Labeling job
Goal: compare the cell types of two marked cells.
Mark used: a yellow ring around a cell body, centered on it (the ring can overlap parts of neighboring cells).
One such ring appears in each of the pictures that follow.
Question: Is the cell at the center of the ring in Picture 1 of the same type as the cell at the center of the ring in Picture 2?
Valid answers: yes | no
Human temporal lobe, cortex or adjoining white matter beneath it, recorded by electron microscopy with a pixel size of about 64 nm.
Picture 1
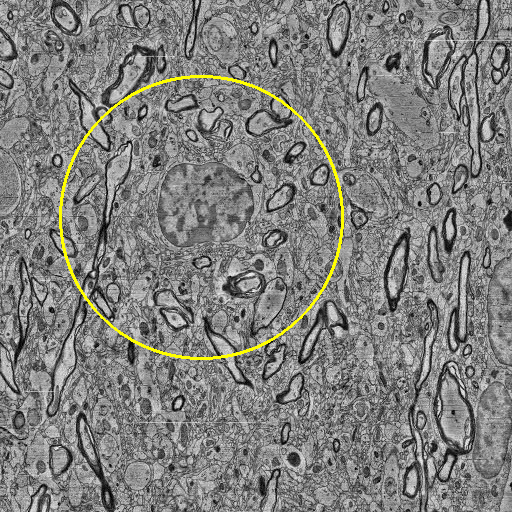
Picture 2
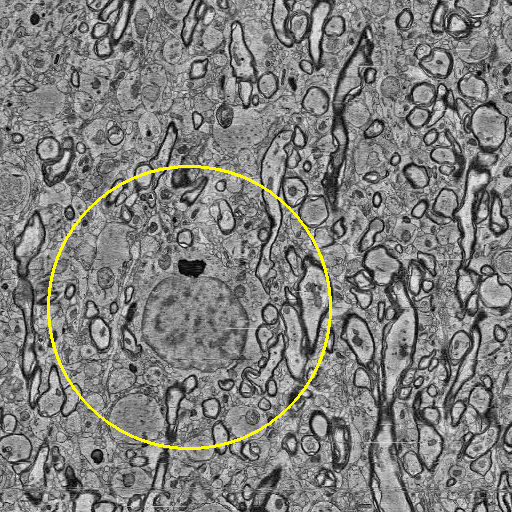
no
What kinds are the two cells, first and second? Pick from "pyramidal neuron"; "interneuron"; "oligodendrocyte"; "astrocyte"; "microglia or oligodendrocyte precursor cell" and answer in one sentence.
The second picture holds an oligodendrocyte in its ring, and the first holds a microglial cell or oligodendrocyte precursor cell.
